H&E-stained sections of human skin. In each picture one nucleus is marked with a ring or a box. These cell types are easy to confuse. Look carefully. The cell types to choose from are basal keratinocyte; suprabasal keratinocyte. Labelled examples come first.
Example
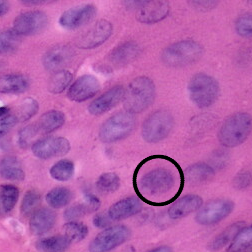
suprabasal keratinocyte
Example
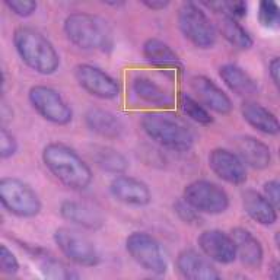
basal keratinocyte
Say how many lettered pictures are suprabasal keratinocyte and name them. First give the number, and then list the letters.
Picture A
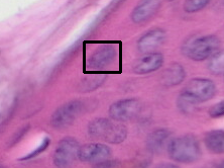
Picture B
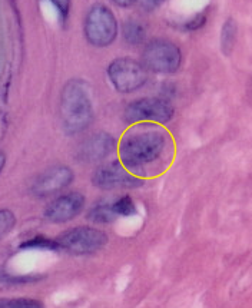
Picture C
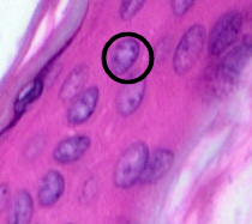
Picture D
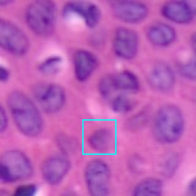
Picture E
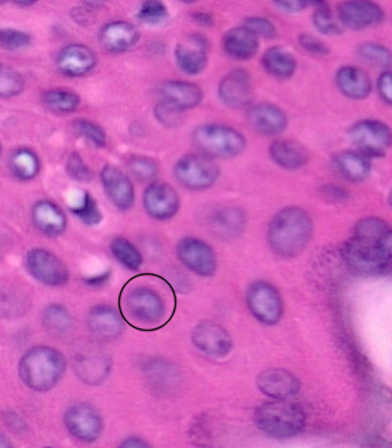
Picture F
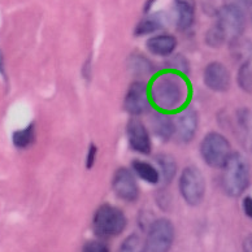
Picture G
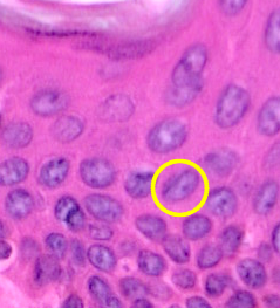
4: A, C, E, G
